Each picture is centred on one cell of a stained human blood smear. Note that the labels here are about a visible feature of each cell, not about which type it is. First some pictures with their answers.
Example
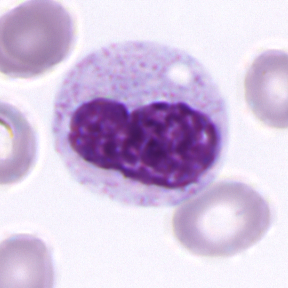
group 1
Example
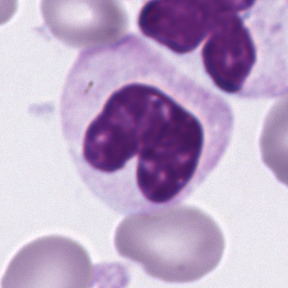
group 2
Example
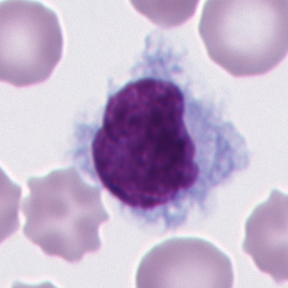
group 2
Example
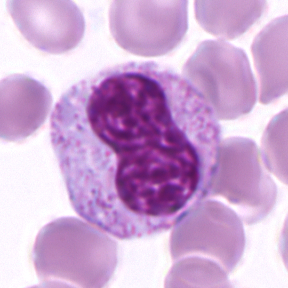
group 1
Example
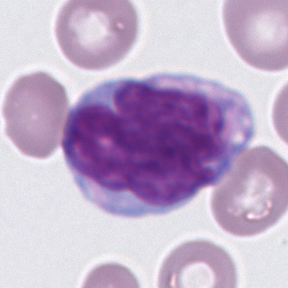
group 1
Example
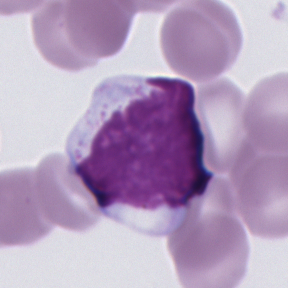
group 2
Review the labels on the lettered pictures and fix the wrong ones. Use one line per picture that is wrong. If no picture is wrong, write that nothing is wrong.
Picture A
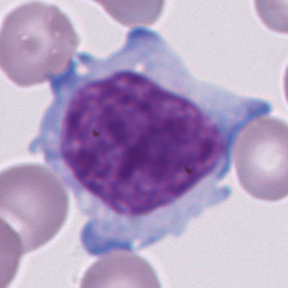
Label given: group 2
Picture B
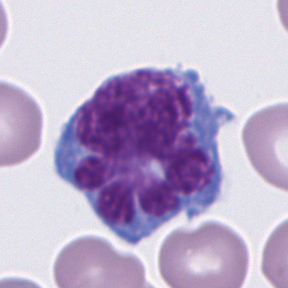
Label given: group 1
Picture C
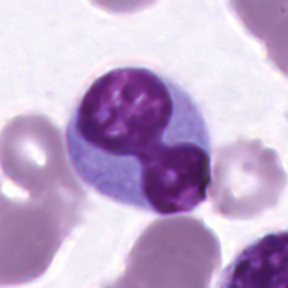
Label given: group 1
None of the labels needs changing.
